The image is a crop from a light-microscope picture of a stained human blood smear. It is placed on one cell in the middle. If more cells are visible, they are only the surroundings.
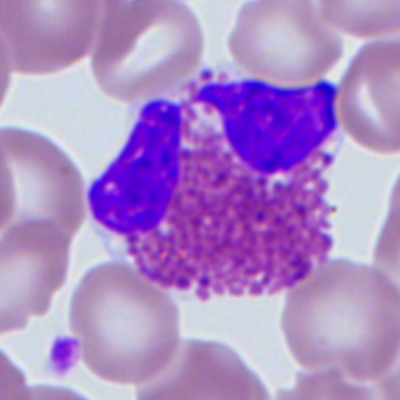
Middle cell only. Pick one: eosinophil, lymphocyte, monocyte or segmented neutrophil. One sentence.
As for the cell in the middle, it is an eosinophil.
